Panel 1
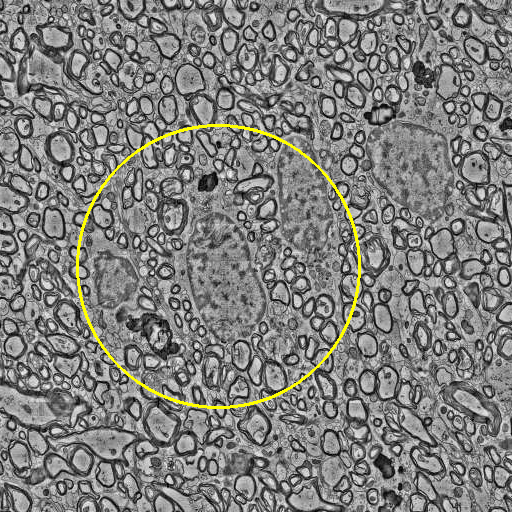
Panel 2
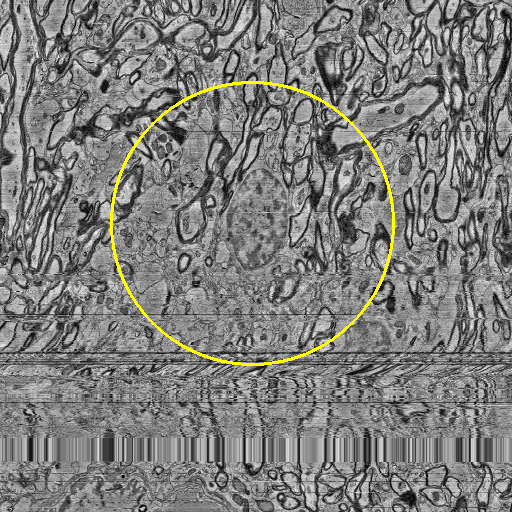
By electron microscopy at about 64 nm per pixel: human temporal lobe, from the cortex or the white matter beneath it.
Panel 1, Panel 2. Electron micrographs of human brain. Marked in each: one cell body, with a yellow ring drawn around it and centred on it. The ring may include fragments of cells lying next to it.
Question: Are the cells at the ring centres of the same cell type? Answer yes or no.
yes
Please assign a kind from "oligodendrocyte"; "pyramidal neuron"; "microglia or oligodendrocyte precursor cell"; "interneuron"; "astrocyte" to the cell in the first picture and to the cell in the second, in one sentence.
Each of the two pictures has an oligodendrocyte at the ring centre.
